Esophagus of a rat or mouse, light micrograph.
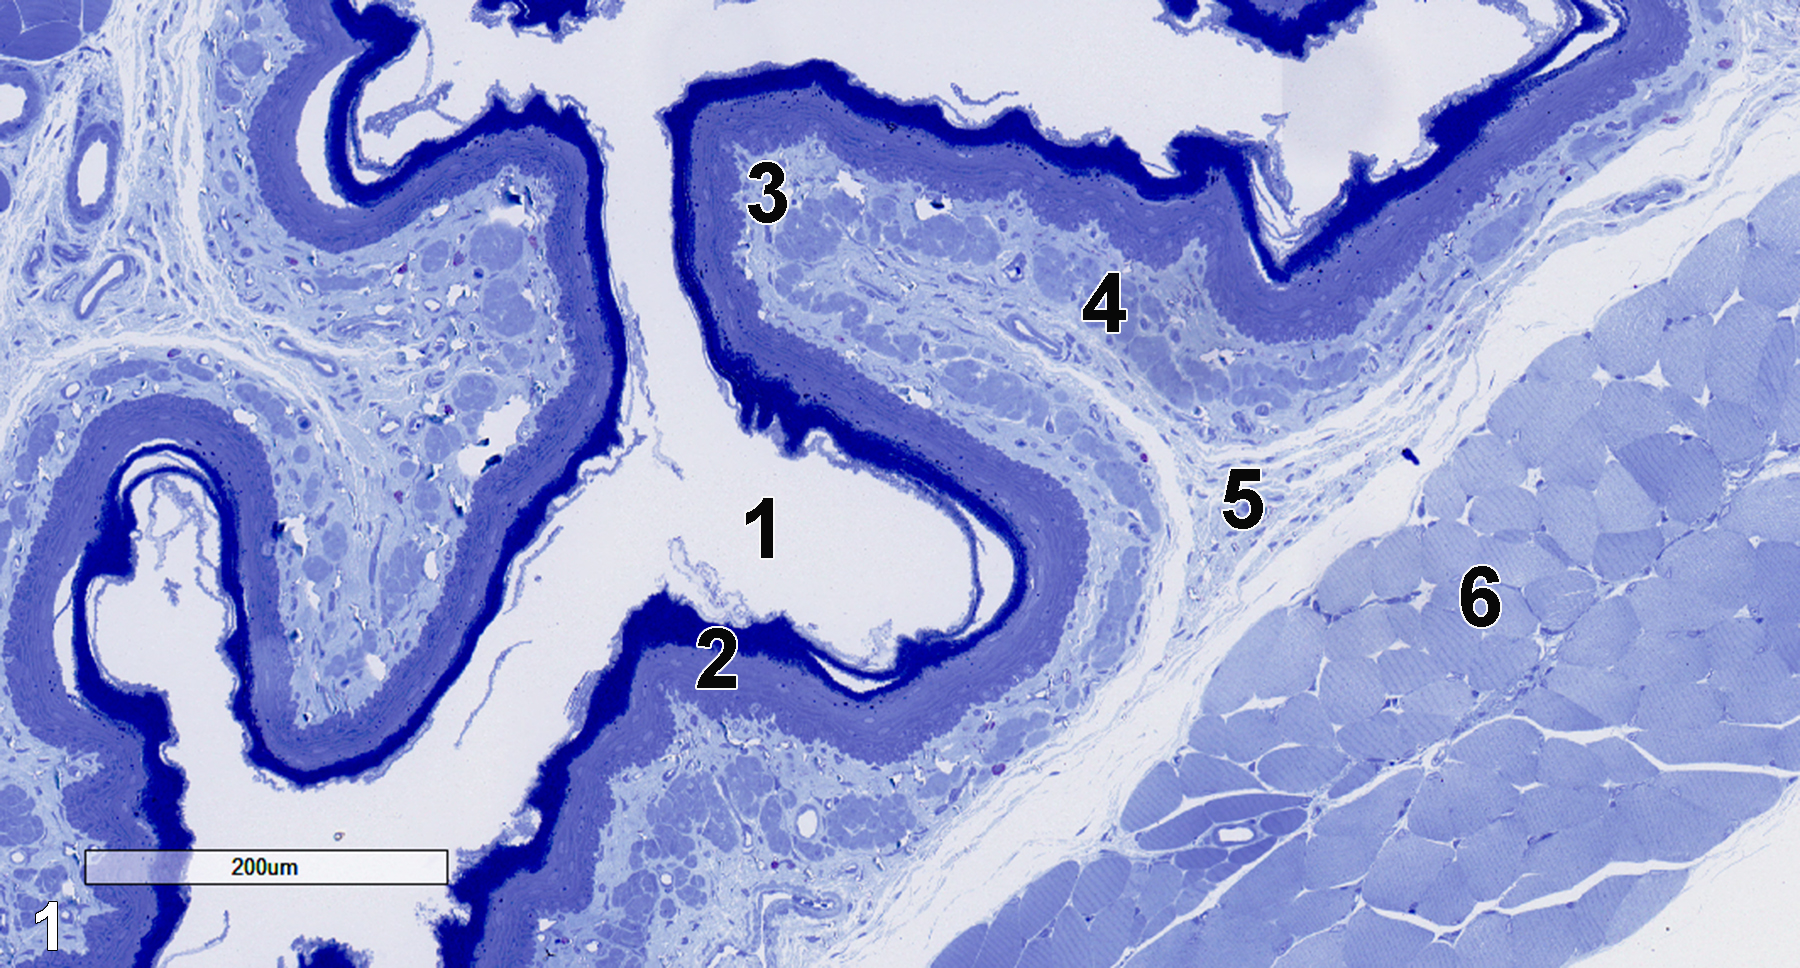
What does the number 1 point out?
At 1: esophageal lumen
